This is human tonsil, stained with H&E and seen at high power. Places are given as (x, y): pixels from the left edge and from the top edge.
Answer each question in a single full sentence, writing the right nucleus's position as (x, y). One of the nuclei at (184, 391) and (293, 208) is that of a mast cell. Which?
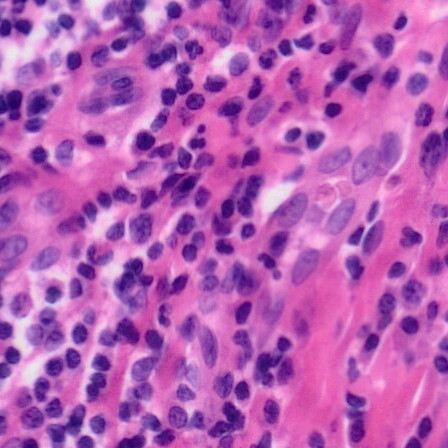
Of the two nuclei, it is the one at (184, 391) that lies within a mast cell.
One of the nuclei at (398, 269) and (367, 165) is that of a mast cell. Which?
At (398, 269) lies the nucleus that belongs to a mast cell.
